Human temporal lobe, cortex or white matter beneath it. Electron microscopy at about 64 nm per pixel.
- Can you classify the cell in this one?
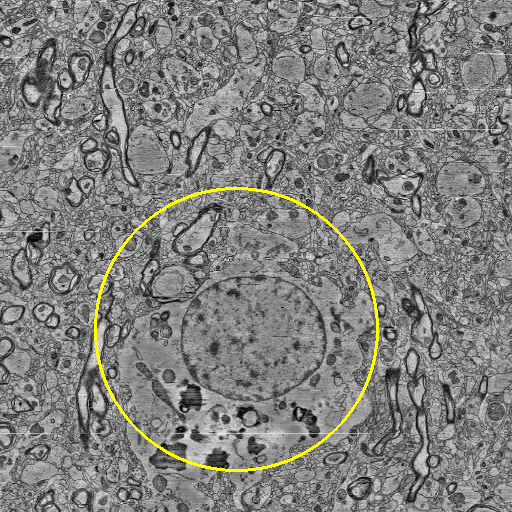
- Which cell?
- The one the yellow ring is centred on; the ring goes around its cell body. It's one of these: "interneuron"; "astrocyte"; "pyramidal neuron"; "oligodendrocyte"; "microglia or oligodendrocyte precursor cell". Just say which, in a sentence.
The cell body in the ring belongs to an astrocyte.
